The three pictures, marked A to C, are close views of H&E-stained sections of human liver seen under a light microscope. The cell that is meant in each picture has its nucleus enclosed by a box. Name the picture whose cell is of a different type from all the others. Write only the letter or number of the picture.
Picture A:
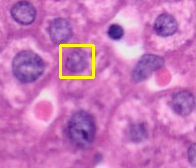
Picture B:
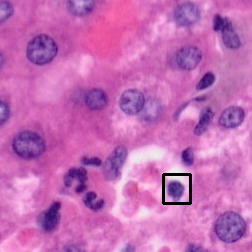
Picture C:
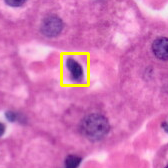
A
